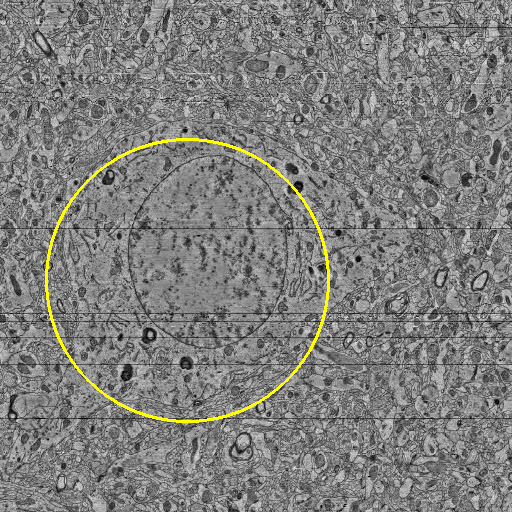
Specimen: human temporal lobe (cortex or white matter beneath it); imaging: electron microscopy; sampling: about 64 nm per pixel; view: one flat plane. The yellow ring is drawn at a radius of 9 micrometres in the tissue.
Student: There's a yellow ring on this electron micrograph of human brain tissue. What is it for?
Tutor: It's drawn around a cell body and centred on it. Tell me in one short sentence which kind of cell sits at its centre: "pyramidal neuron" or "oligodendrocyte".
The cell at the centre of the ring is a pyramidal neuron.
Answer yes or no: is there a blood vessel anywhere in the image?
No, the picture includes no blood vessel.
